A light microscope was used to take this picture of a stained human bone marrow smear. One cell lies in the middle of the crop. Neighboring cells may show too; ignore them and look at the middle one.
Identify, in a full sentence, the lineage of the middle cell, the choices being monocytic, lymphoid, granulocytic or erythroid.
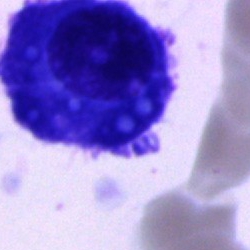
The middle cell is placed in the lymphoid lineage.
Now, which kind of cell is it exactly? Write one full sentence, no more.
The cell at the middle of the frame should be recorded as a plasma cell.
